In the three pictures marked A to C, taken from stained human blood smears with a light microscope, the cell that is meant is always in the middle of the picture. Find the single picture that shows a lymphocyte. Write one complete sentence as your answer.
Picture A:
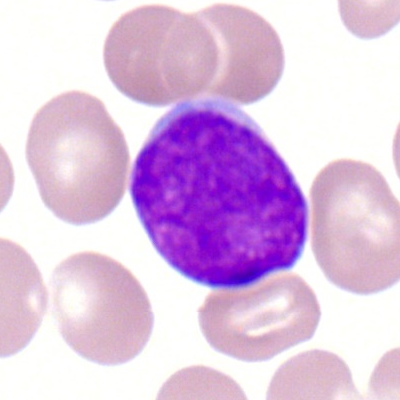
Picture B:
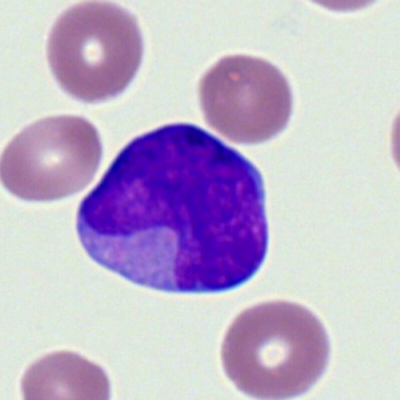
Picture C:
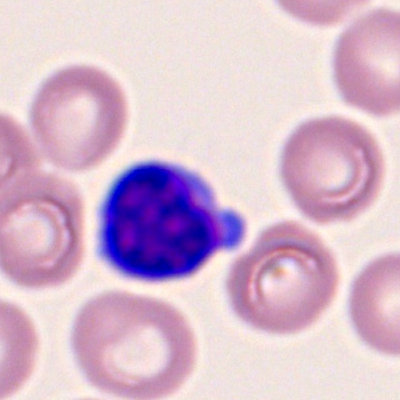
The picture with the lymphocyte is C.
